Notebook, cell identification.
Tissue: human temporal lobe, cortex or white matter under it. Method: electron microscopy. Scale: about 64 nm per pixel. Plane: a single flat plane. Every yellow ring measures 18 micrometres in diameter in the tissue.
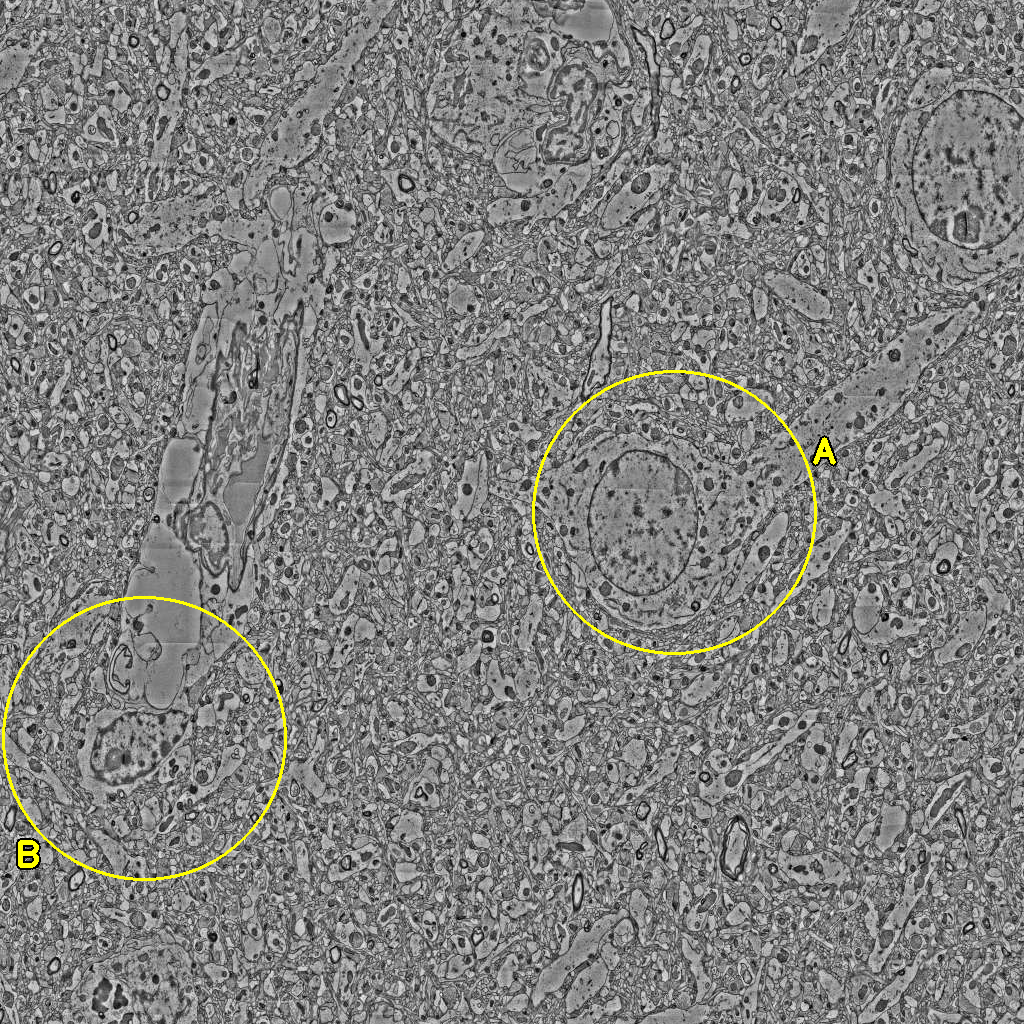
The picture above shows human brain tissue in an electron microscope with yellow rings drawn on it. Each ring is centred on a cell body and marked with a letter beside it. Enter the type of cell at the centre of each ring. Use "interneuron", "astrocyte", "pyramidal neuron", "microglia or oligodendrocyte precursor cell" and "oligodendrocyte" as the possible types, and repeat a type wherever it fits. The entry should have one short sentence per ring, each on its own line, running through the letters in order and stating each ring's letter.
The cell body in ring A belongs to a pyramidal neuron.
The cell body in ring B belongs to a microglial cell or oligodendrocyte precursor cell.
